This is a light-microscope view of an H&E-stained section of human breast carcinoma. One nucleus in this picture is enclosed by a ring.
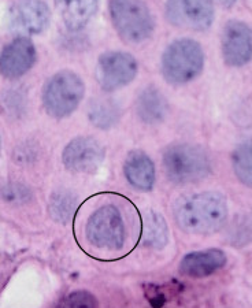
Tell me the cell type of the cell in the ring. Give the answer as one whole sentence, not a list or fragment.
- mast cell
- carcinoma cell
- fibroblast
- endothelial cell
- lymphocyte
Students should answer that the cell in the ring is a carcinoma cell.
